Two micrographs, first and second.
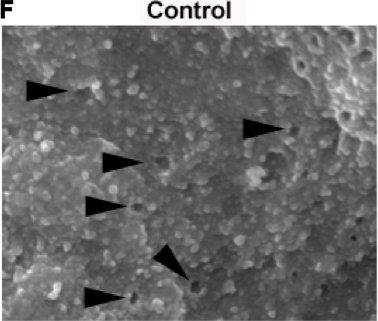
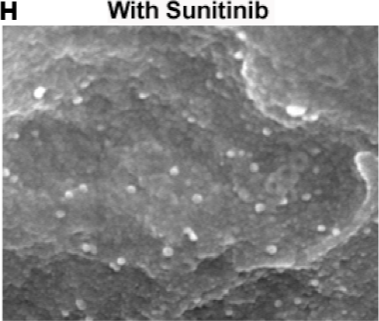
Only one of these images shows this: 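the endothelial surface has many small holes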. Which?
the first image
